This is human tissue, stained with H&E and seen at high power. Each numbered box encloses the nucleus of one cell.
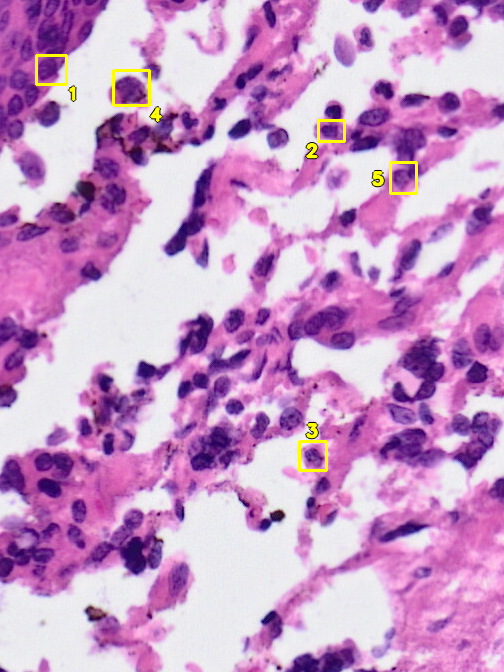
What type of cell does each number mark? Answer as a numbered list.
1. carcinoma cell
2. macrophage or monocyte
3. macrophage or monocyte
4. carcinoma cell
5. macrophage or monocyte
